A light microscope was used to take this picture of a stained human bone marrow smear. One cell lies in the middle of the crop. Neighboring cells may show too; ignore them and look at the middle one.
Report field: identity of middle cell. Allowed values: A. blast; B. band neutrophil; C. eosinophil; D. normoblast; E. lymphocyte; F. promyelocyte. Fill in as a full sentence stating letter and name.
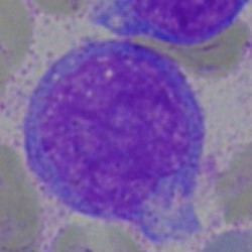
The correct option here is A; the middle cell is a blast.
